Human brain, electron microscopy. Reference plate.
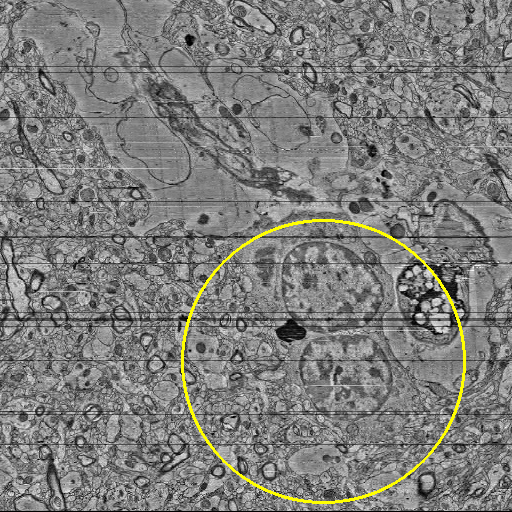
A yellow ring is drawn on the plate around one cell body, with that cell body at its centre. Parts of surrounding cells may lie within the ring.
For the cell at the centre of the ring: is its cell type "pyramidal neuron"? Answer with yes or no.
No, its cell type is another one.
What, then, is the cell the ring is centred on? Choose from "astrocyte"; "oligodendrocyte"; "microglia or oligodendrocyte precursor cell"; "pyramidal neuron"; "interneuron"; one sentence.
The cell marked by the ring is an oligodendrocyte.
